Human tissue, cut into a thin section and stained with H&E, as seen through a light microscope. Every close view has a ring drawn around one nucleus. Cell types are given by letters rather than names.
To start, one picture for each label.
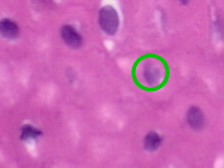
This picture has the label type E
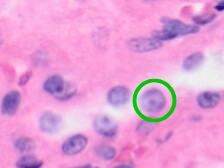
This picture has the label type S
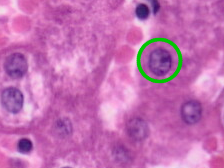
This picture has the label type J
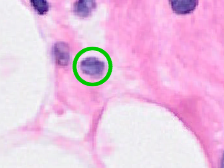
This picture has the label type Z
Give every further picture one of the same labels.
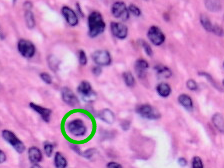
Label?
type Z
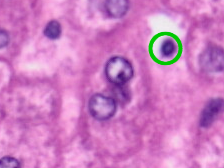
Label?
type Z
